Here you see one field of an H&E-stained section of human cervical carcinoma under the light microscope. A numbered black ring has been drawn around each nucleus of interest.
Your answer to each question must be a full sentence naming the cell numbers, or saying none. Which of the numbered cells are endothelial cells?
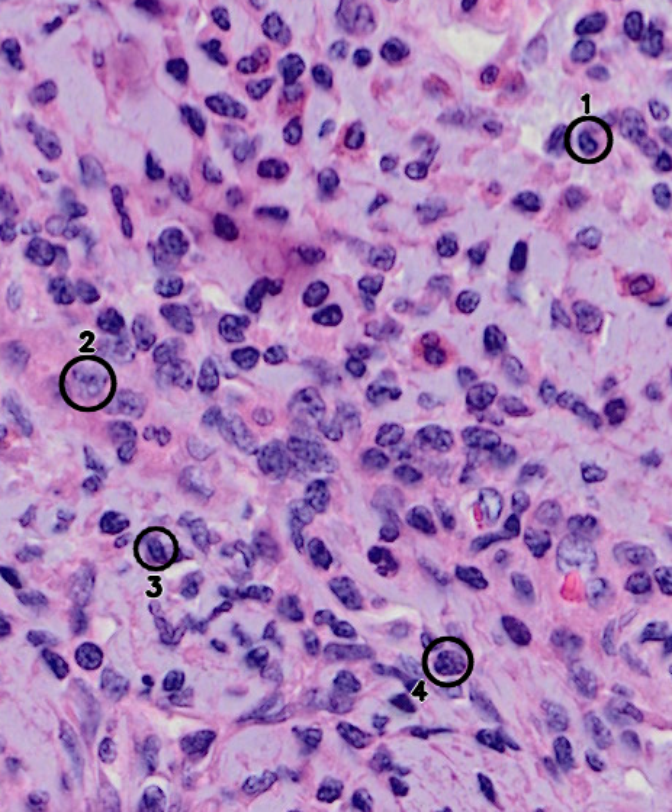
The cell labelled 2 is an endothelial cell, while the remaining numbered cells are not.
